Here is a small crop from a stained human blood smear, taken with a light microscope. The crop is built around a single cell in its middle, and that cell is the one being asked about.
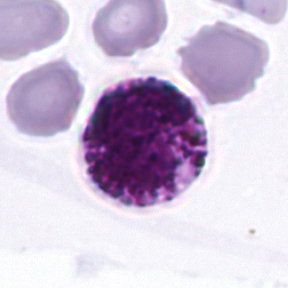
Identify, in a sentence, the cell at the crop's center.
The cell at the centre of the field is a basophil.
